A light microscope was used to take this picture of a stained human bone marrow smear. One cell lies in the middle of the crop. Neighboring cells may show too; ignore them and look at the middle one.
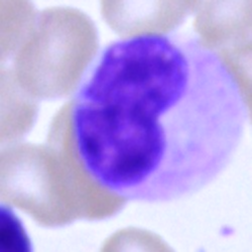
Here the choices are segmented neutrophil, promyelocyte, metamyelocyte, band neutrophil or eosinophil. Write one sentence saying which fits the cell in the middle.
Looking at the middle of the crop, the cell there is a metamyelocyte.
